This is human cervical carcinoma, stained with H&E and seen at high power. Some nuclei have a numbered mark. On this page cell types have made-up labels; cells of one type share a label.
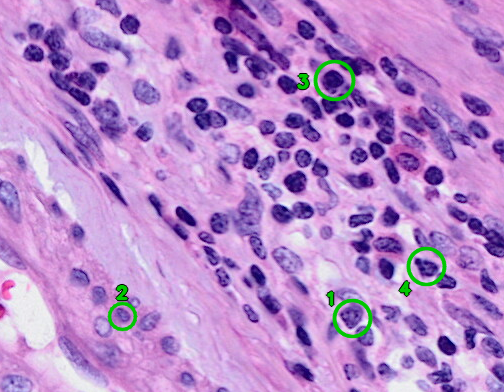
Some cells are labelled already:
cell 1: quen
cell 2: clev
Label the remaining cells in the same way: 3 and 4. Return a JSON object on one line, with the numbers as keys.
{"3": "quen", "4": "quen"}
